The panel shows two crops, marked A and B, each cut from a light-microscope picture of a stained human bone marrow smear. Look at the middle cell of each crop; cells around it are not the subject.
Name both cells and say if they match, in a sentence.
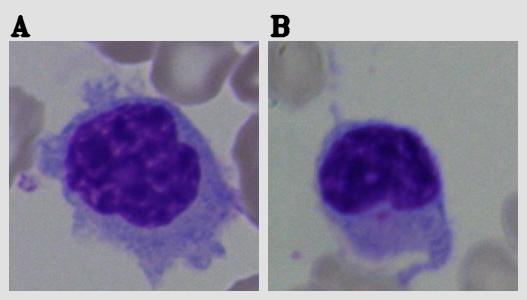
Yes, both crops show hairy cells as the central cells.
